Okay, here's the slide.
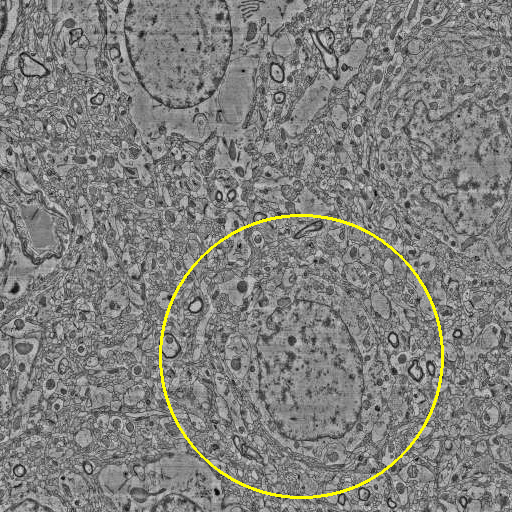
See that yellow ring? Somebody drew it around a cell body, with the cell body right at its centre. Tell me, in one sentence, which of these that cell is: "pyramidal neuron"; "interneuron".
The cell in the middle of the ring is an interneuron.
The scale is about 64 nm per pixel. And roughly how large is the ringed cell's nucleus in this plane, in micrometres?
The nucleus works out at approximately 9 by 7 micrometres in this plane.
